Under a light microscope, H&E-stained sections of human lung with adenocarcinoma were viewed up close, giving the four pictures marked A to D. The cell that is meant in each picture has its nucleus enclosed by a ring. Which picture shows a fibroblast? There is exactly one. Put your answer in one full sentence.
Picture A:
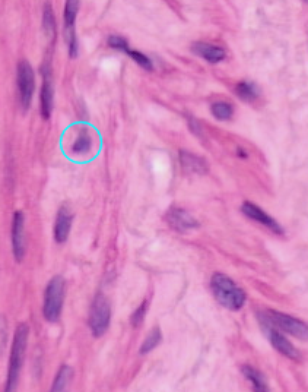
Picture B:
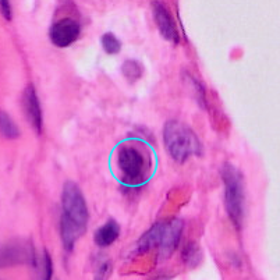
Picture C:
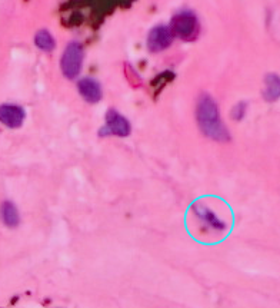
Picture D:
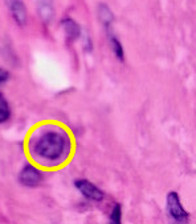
Picture C shows the fibroblast.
